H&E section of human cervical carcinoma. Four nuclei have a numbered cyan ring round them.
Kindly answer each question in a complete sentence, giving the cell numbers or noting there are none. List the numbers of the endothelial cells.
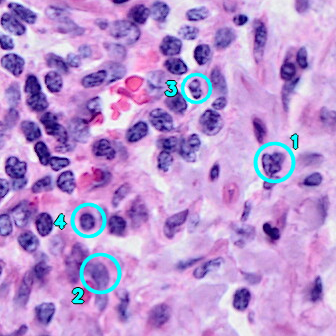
Among the numbered nuclei, only the one labelled 2 belongs to an endothelial cell.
